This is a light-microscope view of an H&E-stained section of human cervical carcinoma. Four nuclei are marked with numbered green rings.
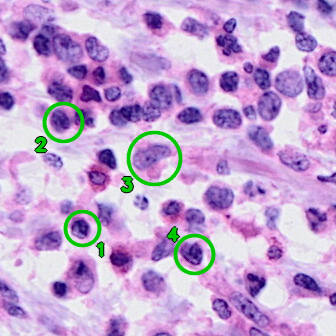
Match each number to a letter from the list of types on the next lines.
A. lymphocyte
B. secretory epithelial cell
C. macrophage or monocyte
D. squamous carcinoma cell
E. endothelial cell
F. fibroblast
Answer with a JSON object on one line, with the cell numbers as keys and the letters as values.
{"1": "A", "2": "A", "3": "C", "4": "A"}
